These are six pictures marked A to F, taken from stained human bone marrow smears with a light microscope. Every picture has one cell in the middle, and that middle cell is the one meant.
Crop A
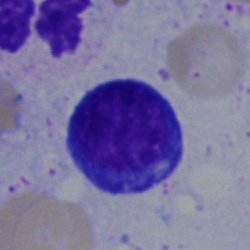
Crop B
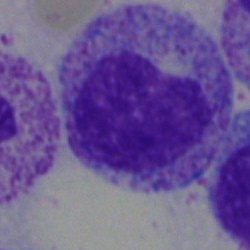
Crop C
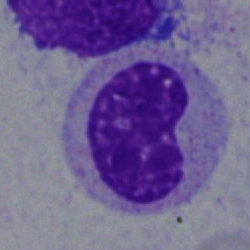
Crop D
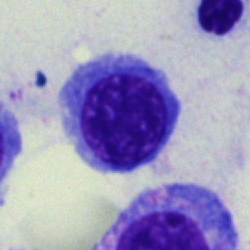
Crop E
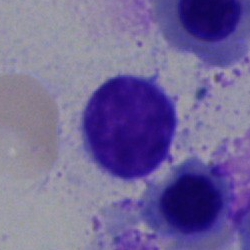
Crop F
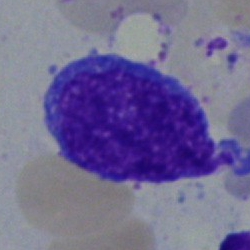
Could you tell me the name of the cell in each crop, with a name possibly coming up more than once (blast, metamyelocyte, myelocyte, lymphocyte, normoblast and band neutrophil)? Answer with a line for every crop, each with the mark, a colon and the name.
A: lymphocyte
B: myelocyte
C: metamyelocyte
D: normoblast
E: lymphocyte
F: blast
